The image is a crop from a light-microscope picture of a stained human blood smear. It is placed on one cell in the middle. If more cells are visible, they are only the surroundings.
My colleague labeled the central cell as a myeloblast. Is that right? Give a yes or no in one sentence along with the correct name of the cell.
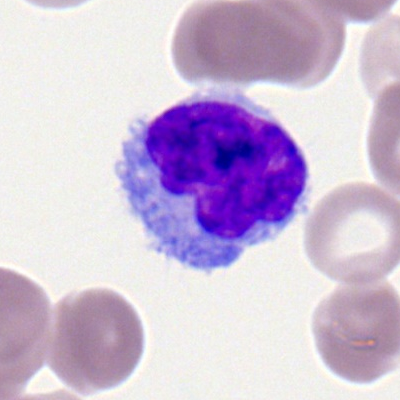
No, the centre of the crop contains a lymphocyte rather than a myeloblast.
